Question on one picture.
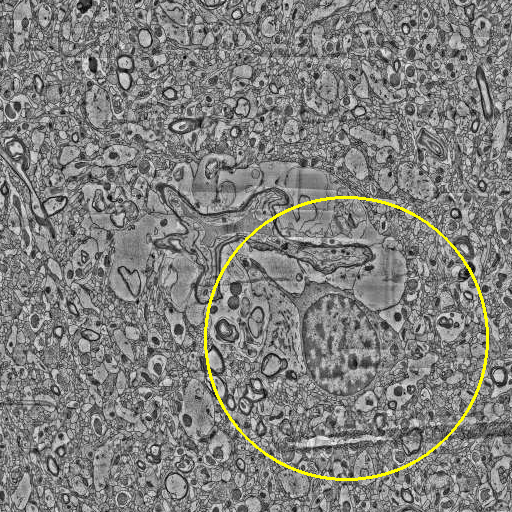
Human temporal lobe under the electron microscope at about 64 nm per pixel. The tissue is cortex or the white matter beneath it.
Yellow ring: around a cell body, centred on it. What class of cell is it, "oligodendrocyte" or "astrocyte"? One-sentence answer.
This is an oligodendrocyte, the cell the ring is centred on.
